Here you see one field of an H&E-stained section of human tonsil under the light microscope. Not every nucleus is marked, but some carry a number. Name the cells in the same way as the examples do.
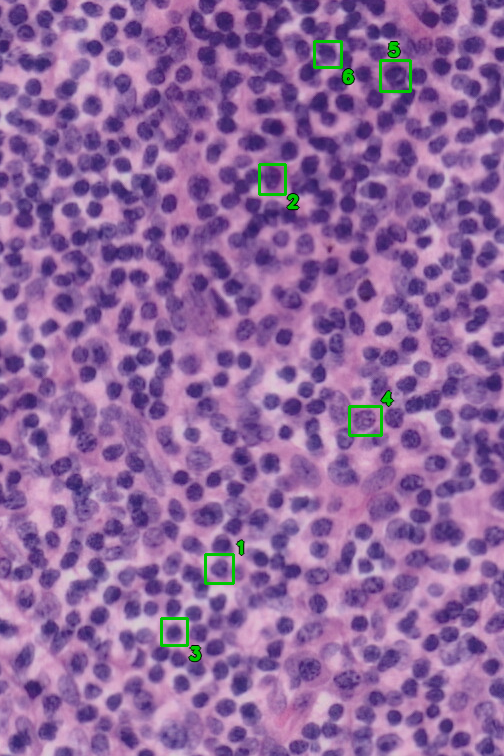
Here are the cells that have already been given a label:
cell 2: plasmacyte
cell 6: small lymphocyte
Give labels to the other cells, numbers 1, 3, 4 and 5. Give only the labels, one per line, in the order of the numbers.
small lymphocyte
small lymphocyte
plasmacyte
plasmacyte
